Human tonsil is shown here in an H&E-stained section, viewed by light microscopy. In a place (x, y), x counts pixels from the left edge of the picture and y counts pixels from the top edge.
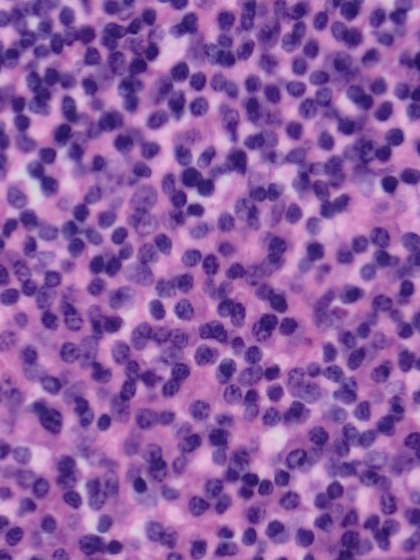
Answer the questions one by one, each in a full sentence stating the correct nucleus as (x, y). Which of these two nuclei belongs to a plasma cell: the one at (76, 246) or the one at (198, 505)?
The nucleus at (198, 505) is contained in a plasma cell.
